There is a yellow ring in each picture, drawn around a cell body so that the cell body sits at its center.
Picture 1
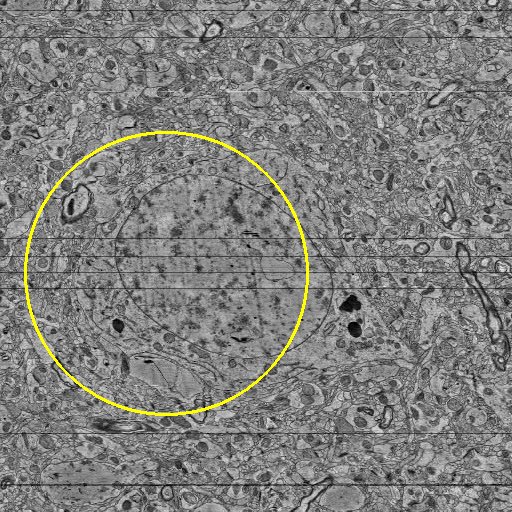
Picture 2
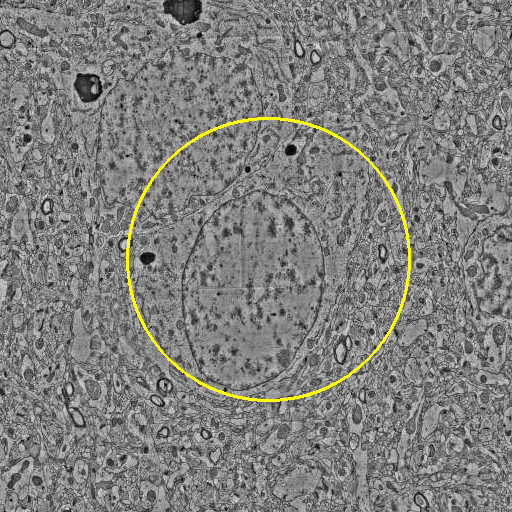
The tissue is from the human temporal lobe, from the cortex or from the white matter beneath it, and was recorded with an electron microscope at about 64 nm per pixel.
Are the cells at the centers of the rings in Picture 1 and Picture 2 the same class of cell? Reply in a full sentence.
Yes, the two cells are the same class of cell.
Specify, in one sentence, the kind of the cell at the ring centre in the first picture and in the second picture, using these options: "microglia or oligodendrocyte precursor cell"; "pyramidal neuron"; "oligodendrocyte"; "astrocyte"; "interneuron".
Each of the two pictures has a pyramidal neuron at the ring centre.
